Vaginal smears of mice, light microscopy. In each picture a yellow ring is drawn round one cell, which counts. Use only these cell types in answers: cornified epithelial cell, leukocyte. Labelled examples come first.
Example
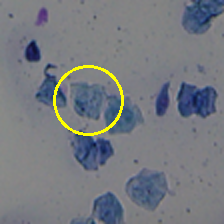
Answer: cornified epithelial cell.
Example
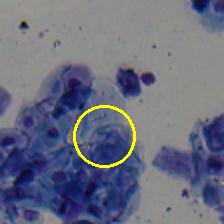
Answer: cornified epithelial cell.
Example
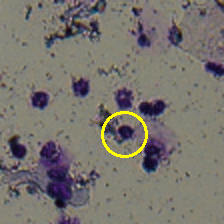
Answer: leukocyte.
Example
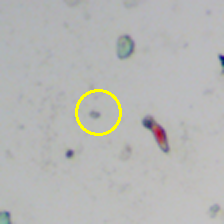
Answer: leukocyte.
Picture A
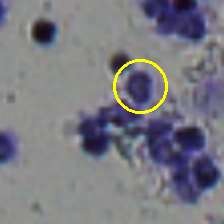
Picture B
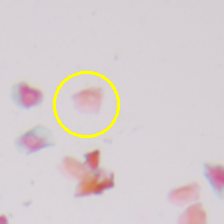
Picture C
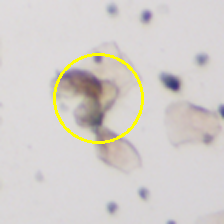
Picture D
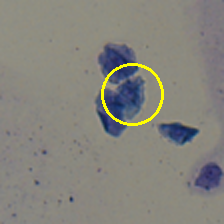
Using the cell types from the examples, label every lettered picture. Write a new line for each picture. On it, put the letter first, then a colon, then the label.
A: leukocyte.
B: cornified epithelial cell.
C: cornified epithelial cell.
D: cornified epithelial cell.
